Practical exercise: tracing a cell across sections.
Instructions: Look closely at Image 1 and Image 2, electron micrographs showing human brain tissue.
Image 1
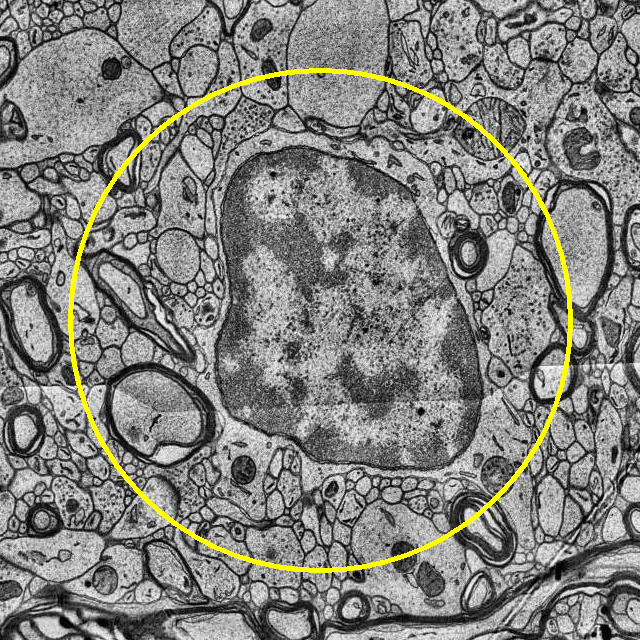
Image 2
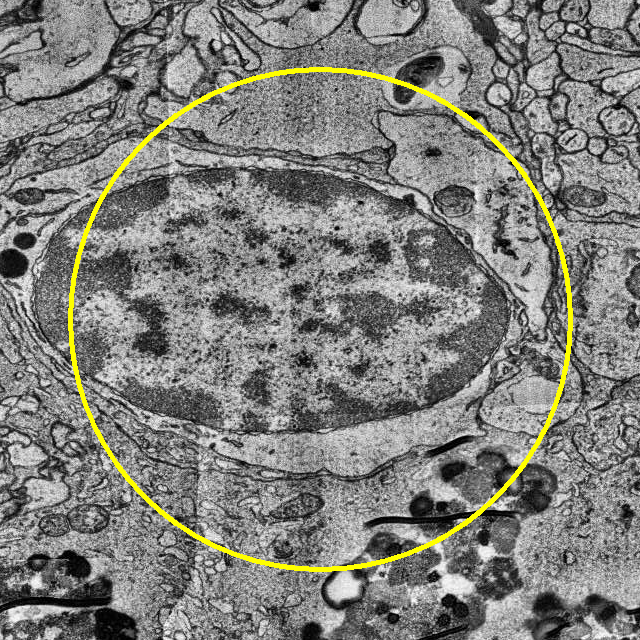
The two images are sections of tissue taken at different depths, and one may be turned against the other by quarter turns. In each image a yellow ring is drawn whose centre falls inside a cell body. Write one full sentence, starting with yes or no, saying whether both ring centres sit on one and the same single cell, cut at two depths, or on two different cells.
No, the two rings are drawn around two distinct cells.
